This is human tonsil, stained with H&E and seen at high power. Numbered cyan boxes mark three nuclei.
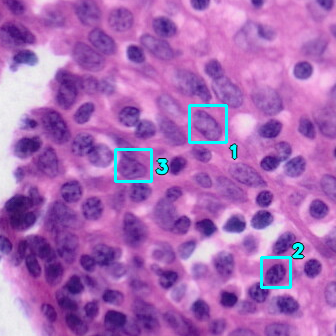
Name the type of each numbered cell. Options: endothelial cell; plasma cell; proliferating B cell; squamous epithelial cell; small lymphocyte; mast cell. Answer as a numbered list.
1. squamous epithelial cell
2. plasma cell
3. squamous epithelial cell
